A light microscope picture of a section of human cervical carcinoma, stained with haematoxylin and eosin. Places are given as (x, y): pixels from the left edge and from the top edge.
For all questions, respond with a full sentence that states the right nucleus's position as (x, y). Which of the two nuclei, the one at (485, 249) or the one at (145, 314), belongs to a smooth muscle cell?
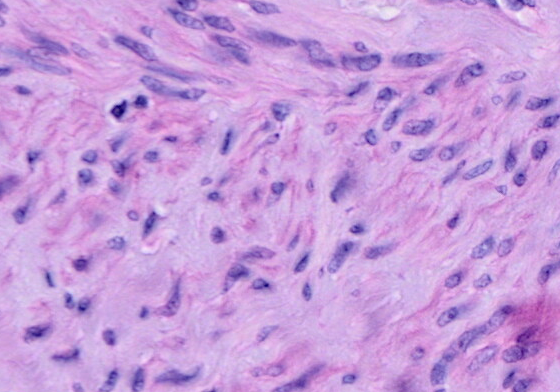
The nucleus at (485, 249) is the one of the two that belongs to a smooth muscle cell.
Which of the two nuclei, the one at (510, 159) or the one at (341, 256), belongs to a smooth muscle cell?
The one nucleus of the two that belongs to a smooth muscle cell is at (510, 159).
